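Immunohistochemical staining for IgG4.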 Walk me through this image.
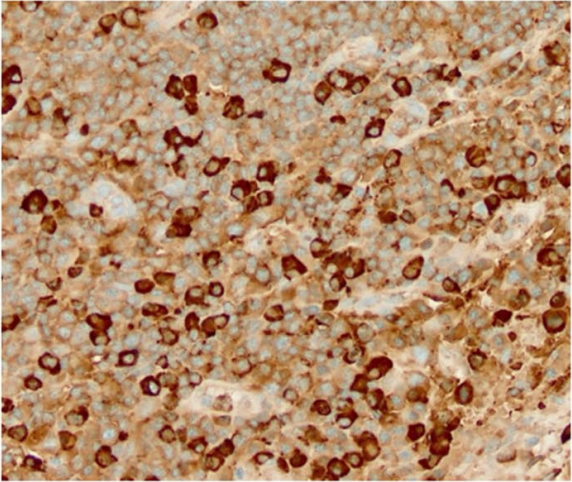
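This is a densely cellular inflammatory infiltrate in which many plasma cells stand out with strong dark brown cytoplasm. They are round to oval, with round nuclei pushed to one side of the cell, which appear pale bluish where the brown stain rims them. The stained cells are abundant and scattered closely among many other cells that take only a lighter tan background tint. Between the cells run pale, elongated strands of stroma. The strongly brown cells make up a large share of the field, giving a crowded, speckled appearance.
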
